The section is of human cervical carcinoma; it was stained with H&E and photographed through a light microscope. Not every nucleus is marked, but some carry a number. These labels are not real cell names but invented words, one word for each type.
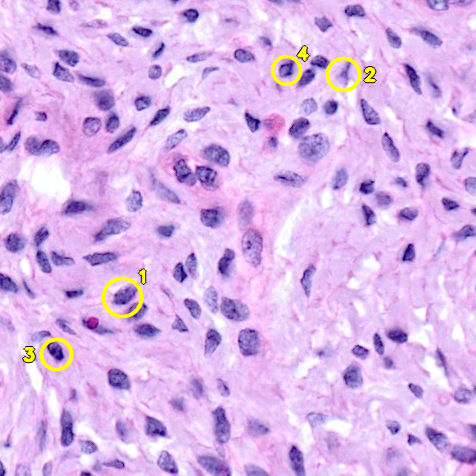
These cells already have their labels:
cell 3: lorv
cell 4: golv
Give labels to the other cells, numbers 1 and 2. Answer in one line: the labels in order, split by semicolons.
golv; golv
